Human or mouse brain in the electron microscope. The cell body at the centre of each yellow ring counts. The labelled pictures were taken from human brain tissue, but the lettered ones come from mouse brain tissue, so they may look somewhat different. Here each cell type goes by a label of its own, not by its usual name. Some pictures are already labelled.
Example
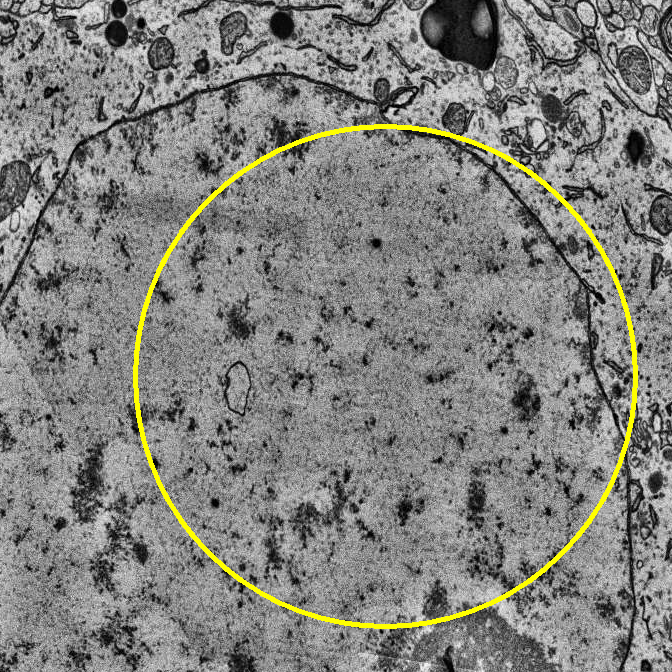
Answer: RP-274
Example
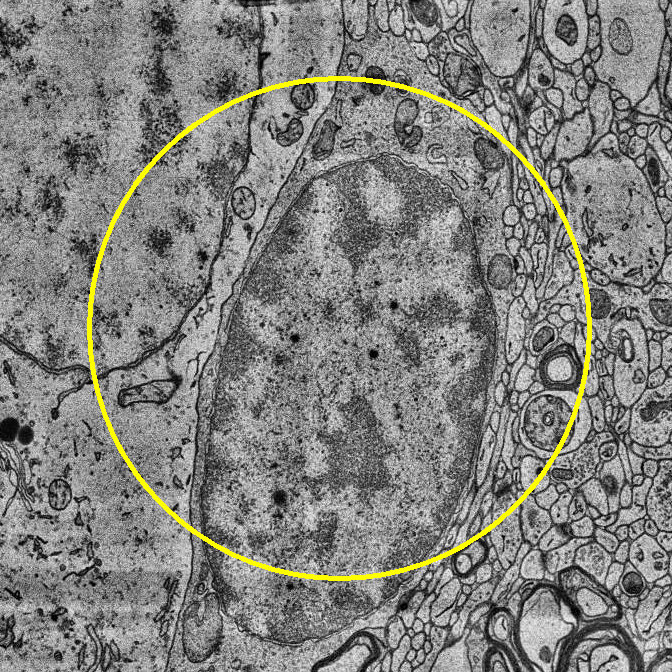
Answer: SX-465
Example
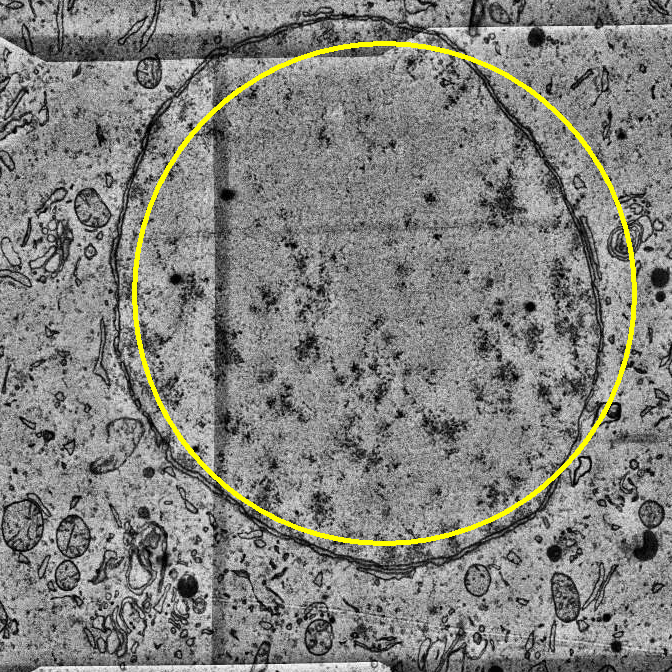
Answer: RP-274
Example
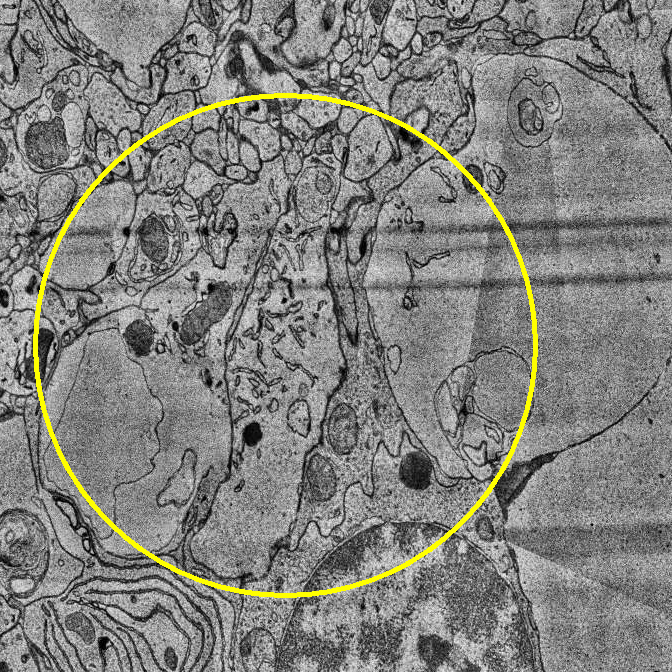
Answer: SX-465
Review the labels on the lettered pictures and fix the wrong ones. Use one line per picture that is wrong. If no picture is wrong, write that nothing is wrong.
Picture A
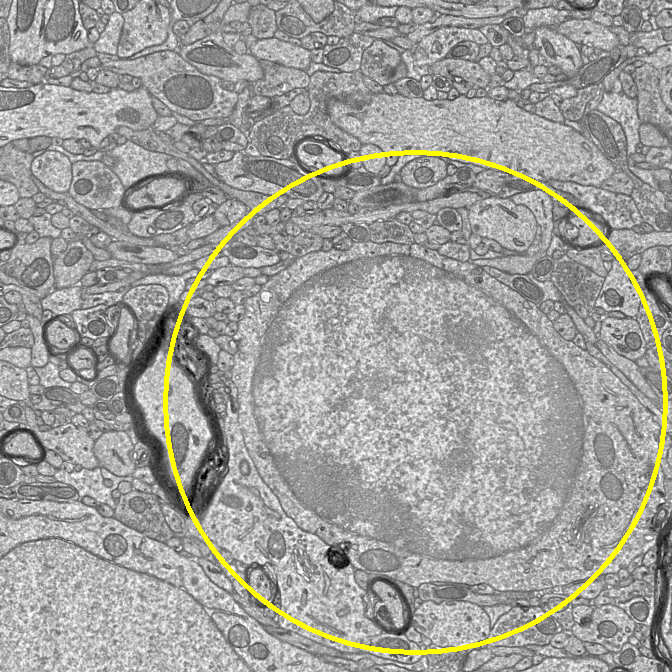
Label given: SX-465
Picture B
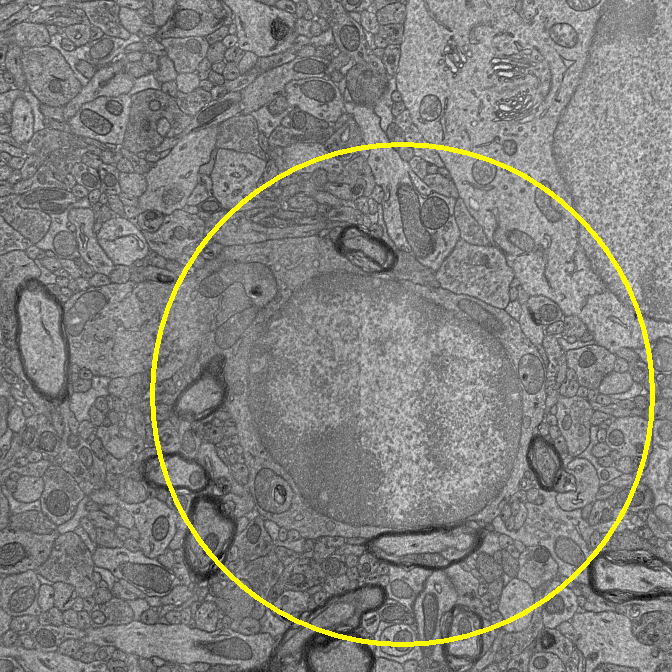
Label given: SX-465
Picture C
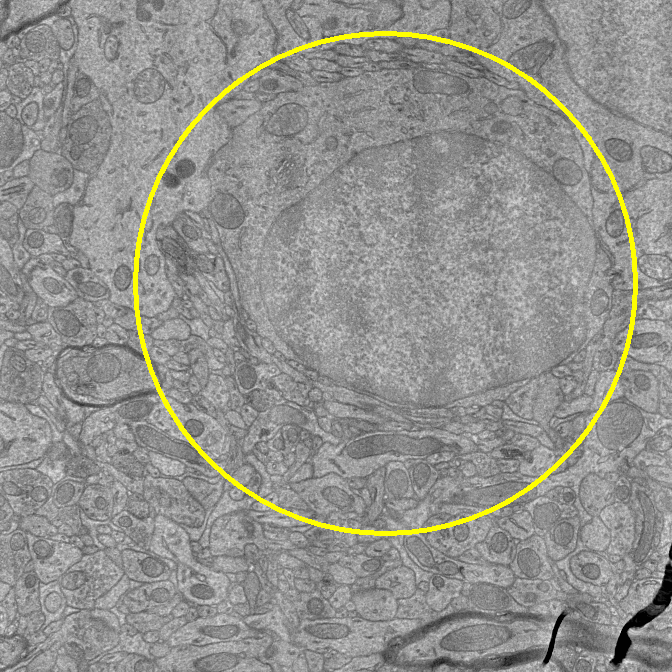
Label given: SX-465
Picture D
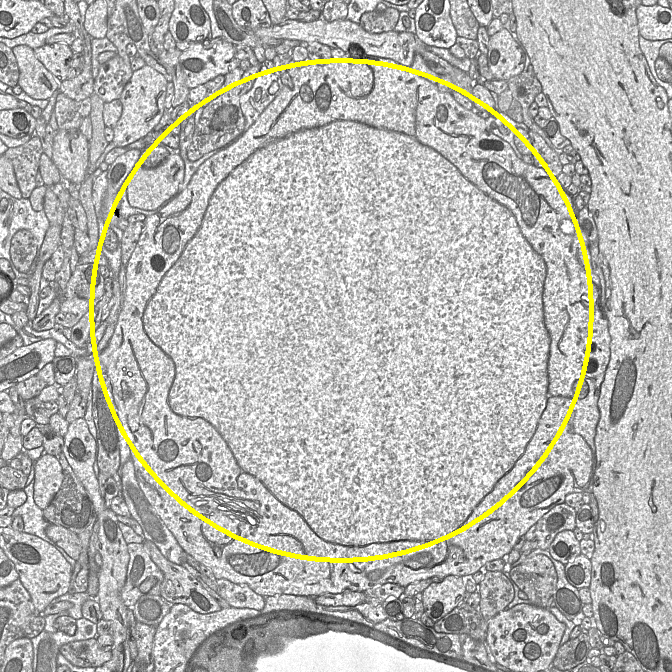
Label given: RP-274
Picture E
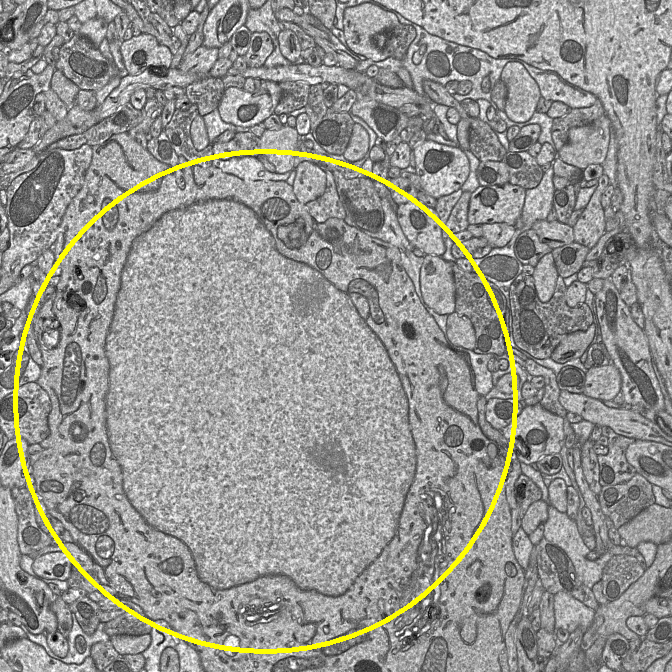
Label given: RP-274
None of the labels needs changing.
